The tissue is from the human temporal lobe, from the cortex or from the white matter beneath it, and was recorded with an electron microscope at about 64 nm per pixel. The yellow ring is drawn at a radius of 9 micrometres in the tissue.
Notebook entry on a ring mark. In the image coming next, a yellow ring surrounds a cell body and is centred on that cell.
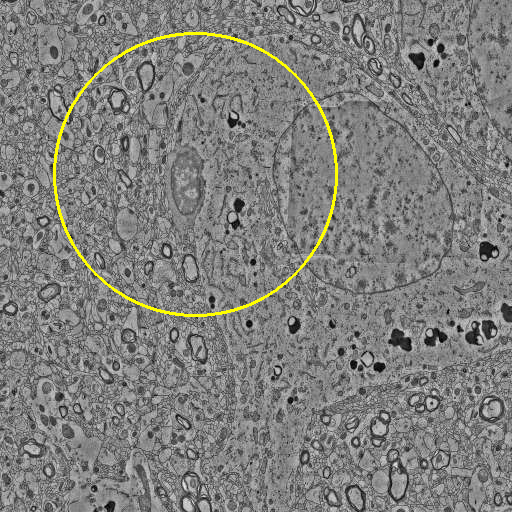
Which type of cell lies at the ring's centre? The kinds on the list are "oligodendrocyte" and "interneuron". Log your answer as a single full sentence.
Centred in the yellow ring is an oligodendrocyte, the cell recorded for this image.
